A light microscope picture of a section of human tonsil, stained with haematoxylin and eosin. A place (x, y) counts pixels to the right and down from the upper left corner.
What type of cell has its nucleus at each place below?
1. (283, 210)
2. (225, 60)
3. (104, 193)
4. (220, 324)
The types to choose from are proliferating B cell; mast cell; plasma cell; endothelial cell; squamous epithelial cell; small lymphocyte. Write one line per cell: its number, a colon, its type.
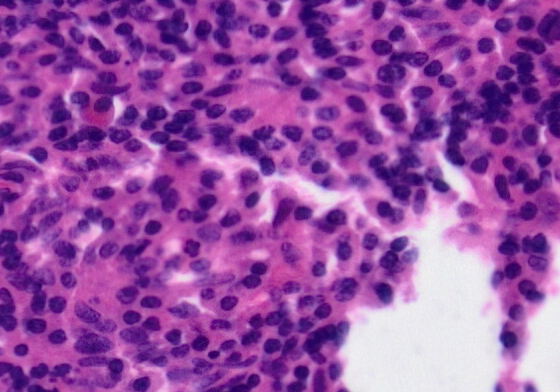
1: squamous epithelial cell
2: plasma cell
3: plasma cell
4: plasma cell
